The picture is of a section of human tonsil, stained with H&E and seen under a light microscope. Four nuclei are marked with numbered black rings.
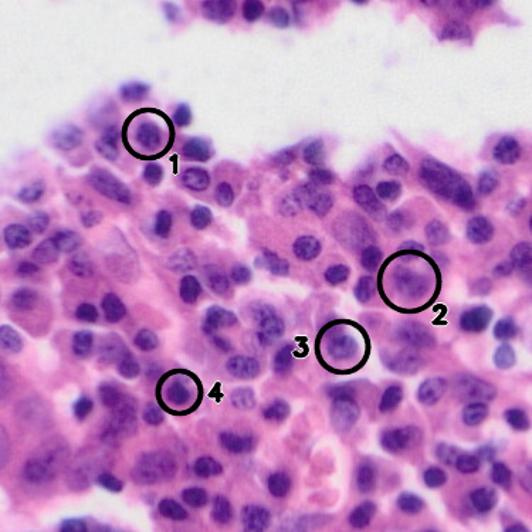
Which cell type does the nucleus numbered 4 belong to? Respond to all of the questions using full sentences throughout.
Number 4 is placed on a plasma cell here.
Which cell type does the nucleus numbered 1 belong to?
Cell 1 of the marked set is a plasma cell.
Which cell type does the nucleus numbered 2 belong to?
Cell 2 is classified as a squamous epithelial cell.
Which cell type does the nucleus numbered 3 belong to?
The identity of cell 3 is that of a plasma cell.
